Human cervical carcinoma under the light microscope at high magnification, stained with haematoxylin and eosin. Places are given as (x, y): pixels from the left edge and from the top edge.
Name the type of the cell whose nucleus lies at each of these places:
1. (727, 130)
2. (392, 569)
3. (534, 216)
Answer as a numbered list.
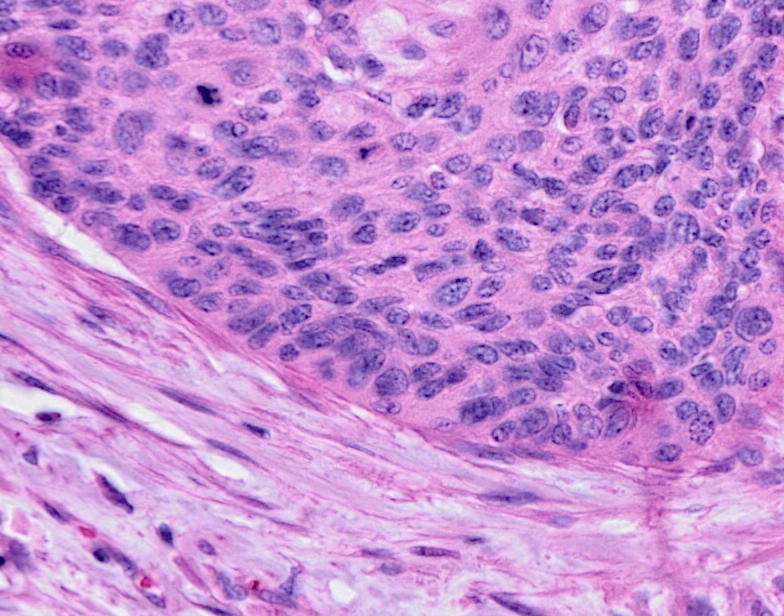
1. squamous carcinoma cell
2. fibroblast
3. squamous carcinoma cell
